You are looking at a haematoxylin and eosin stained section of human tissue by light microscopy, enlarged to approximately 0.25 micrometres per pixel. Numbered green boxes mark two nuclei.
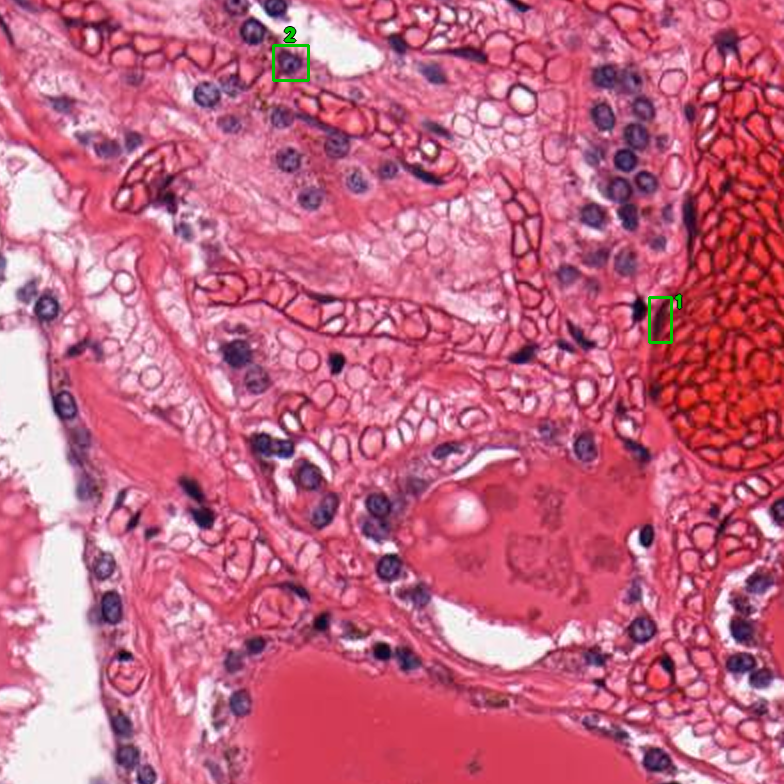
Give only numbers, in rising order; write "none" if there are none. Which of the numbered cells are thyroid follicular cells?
2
